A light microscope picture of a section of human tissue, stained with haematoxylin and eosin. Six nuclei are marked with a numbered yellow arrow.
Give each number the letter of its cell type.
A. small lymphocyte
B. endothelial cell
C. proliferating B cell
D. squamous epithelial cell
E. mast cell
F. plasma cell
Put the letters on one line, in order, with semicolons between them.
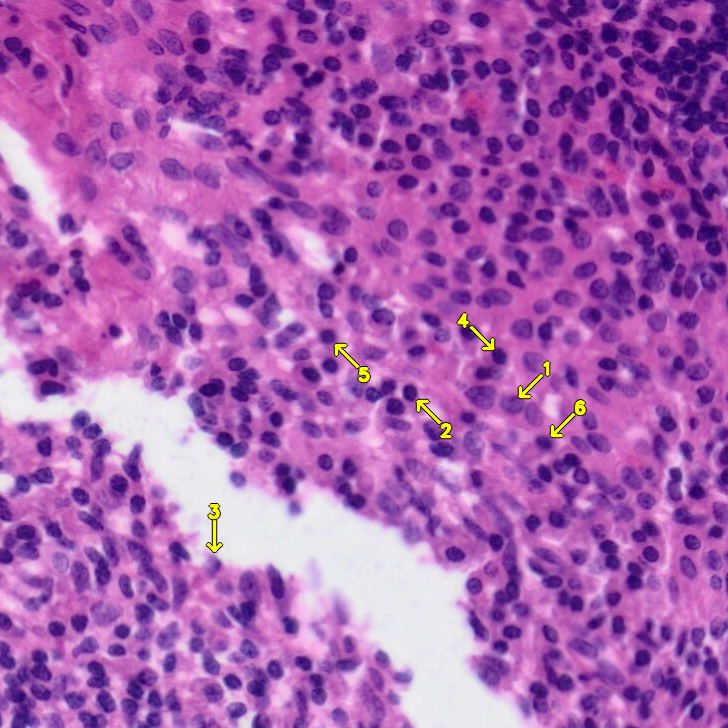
D; F; D; F; F; F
